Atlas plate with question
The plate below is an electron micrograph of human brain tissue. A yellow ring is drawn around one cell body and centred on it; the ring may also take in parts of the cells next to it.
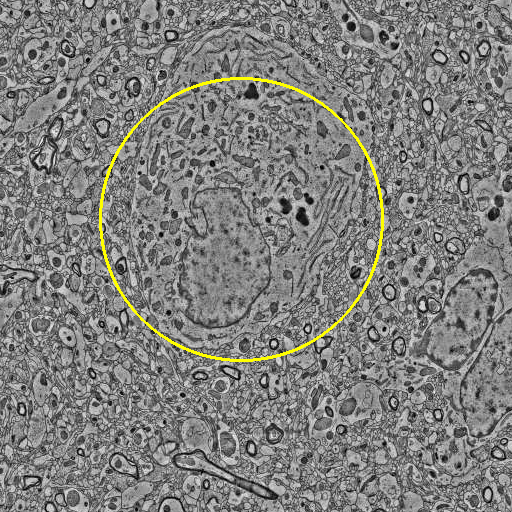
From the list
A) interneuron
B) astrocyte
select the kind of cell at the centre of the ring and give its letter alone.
A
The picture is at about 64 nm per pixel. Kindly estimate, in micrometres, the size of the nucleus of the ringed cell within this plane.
About 9 micrometres by about 6 micrometres in this plane.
